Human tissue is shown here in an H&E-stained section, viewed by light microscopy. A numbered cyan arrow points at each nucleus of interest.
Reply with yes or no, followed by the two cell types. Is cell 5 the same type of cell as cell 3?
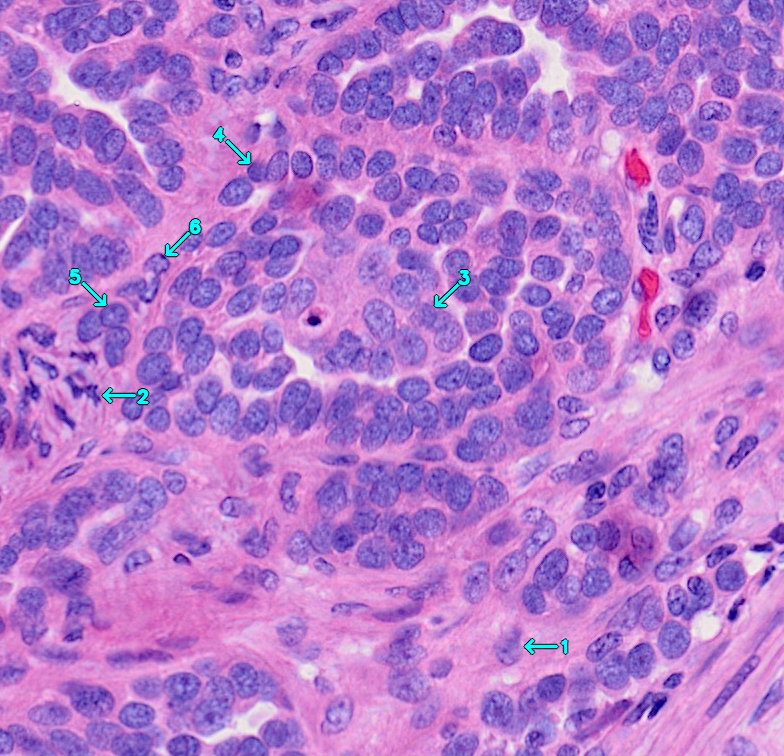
Yes, cells 5 and 3 are both carcinoma cells.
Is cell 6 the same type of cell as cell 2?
Yes, cells number 6 and number 2 are both fibroblasts.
